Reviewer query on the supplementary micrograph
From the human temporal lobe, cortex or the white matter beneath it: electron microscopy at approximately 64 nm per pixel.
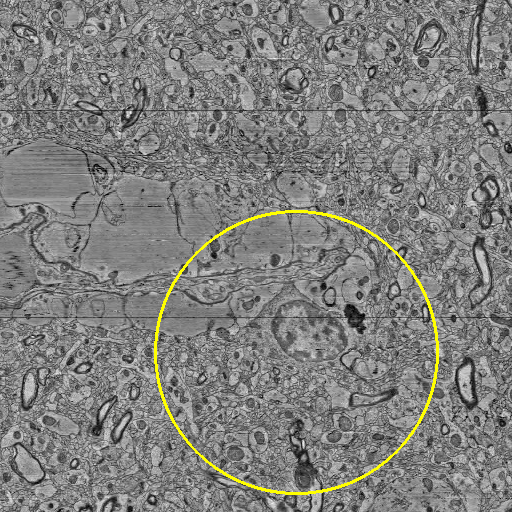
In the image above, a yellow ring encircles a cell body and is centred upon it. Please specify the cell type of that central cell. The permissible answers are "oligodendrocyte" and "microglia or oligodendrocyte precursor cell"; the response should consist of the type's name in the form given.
oligodendrocyte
